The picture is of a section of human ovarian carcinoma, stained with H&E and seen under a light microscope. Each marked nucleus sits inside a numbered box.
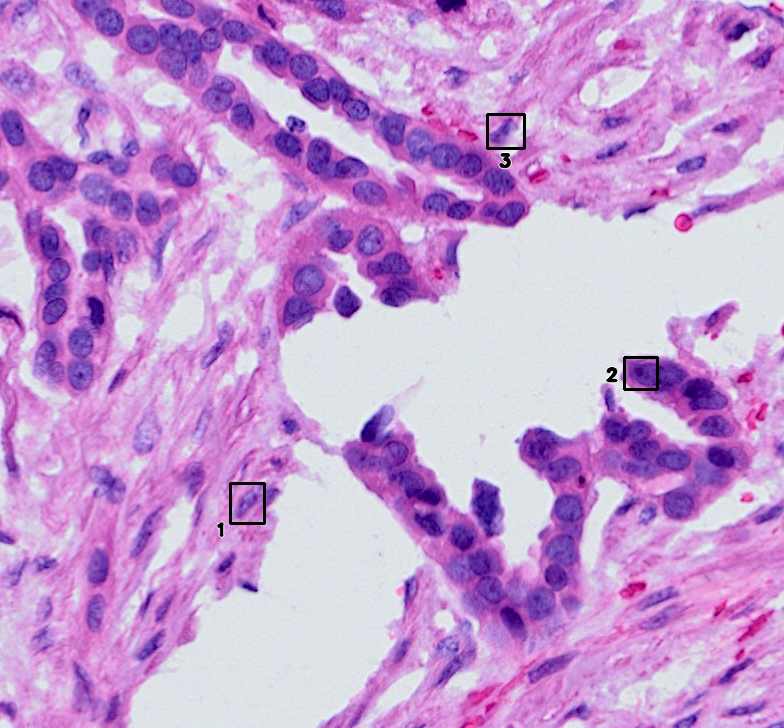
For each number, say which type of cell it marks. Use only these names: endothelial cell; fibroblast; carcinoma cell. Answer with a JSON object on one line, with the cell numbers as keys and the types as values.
{"1": "fibroblast", "2": "carcinoma cell", "3": "fibroblast"}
